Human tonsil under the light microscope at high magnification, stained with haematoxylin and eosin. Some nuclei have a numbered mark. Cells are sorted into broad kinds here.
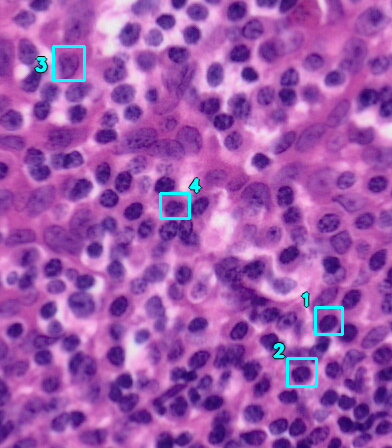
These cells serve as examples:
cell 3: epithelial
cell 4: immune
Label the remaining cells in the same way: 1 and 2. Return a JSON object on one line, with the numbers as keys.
{"1": "immune", "2": "immune"}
